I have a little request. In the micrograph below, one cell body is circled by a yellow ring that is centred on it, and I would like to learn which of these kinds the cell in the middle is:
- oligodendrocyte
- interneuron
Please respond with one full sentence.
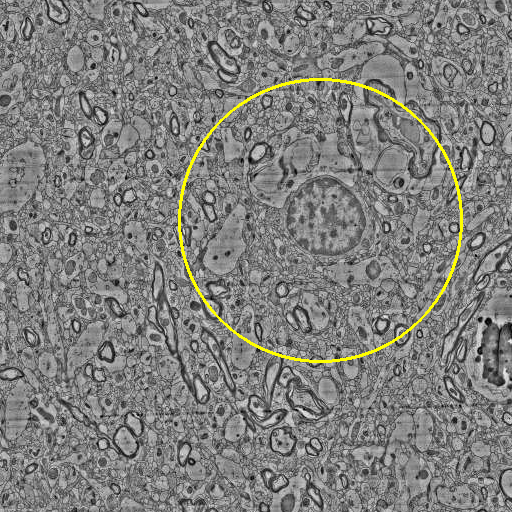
The cell sitting in the middle of the yellow ring in the micrograph is an oligodendrocyte.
